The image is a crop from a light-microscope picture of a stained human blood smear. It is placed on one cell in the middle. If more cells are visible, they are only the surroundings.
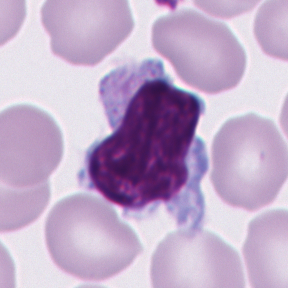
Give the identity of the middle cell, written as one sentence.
In this crop, the cell at the very middle is a typical lymphocyte.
